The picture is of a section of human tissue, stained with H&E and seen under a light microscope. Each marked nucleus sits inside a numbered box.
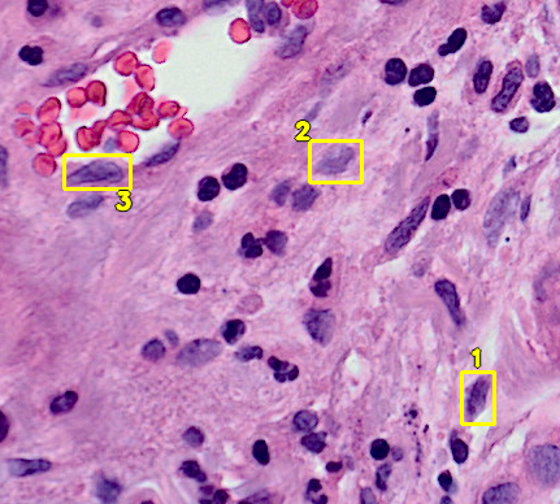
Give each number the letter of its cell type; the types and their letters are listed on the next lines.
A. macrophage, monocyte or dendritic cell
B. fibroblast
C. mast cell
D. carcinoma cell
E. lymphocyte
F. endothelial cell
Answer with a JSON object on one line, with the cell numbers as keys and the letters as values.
{"1": "B", "2": "B", "3": "F"}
